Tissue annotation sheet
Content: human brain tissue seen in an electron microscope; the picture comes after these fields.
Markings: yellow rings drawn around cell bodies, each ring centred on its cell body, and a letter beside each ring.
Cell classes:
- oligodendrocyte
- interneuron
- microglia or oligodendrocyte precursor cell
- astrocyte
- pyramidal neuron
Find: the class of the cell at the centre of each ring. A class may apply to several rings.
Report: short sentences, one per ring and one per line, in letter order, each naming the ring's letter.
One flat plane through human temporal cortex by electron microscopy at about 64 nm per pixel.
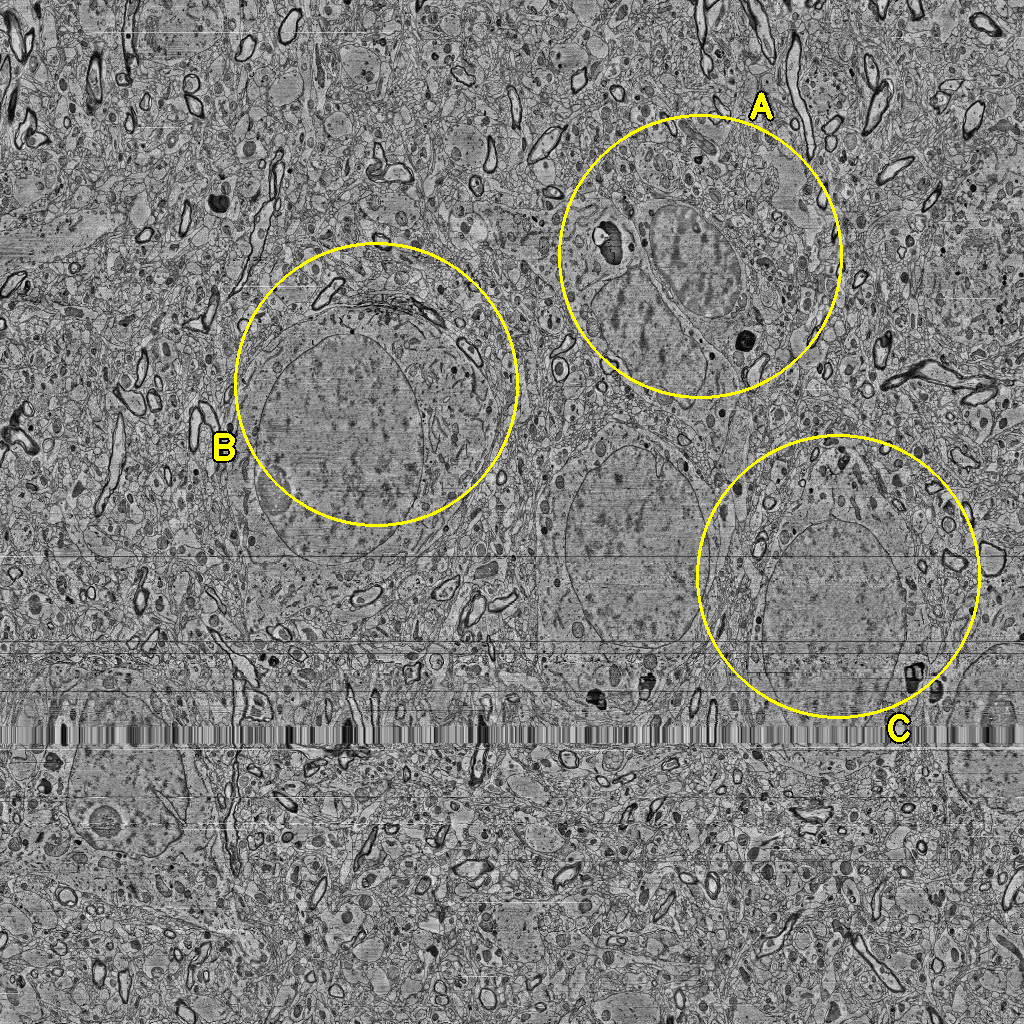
Ring A holds an oligodendrocyte at its centre.
Ring B holds a pyramidal neuron at its centre.
Ring C holds a pyramidal neuron at its centre.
